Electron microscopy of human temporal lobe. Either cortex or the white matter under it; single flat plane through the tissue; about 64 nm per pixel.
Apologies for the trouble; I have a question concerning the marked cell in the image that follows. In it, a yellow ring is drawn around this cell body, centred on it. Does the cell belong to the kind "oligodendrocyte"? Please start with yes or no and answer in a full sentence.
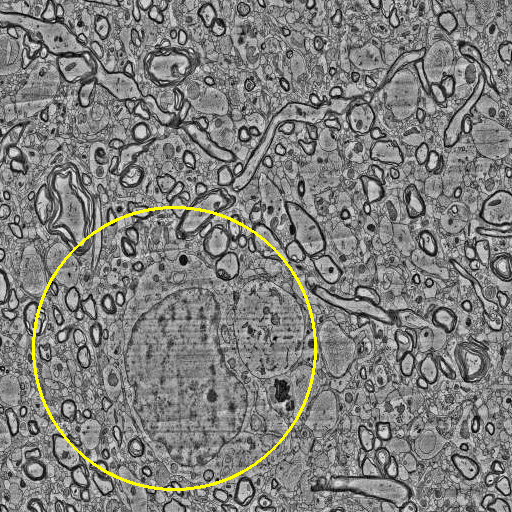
No, the ringed cell in the picture is of a different kind.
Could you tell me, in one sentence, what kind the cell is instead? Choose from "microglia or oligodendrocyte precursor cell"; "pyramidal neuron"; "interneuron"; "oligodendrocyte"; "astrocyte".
Instead, the ring surrounds an interneuron in this picture.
